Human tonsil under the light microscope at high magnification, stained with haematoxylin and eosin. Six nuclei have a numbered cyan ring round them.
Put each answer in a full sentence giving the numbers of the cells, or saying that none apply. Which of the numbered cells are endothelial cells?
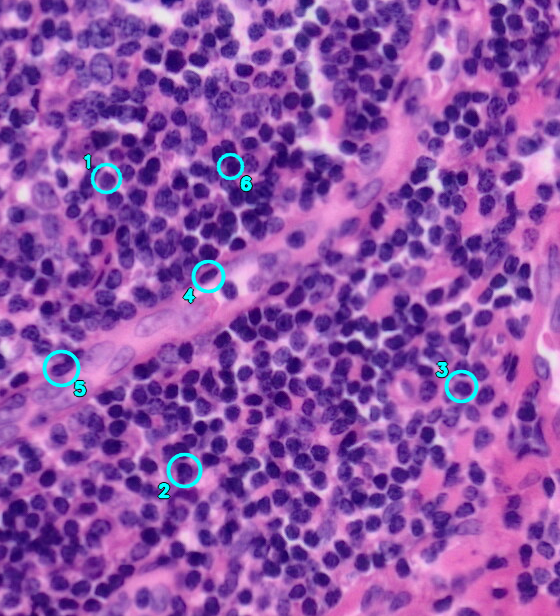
The cells which carry the numbers 4 and 5 are endothelial cells.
